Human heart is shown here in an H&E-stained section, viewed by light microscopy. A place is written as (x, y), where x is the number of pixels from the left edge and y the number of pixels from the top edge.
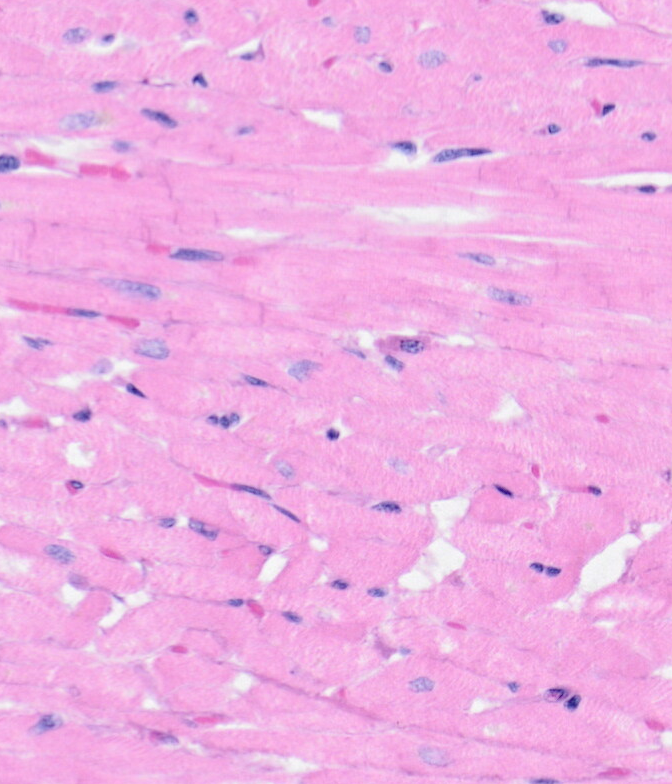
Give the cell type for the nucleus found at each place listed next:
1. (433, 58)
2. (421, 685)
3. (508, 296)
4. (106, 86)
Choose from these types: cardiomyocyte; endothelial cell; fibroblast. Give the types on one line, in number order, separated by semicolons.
cardiomyocyte; cardiomyocyte; cardiomyocyte; fibroblast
